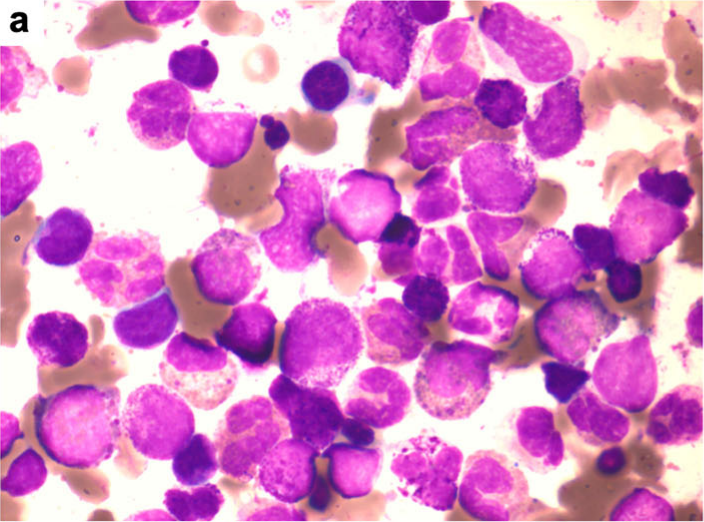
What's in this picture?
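This is a smear of bone marrow, and it is crowded with nucleated blood-forming cells that lie almost edge to edge, with only a few pale red cells squeezed between them. Scattered among them are smaller cells with dense, dark, compact nuclei and little cytoplasm. A few cells show folded or indented nuclei.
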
